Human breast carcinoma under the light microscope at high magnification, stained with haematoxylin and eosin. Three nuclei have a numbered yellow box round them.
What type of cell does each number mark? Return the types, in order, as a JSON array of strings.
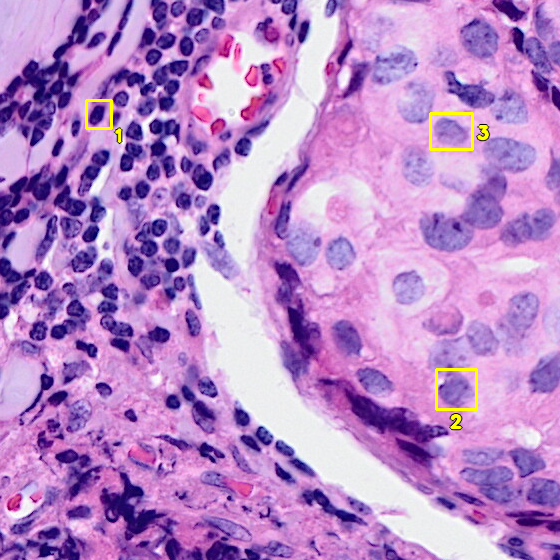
["lymphocyte", "carcinoma cell", "carcinoma cell"]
